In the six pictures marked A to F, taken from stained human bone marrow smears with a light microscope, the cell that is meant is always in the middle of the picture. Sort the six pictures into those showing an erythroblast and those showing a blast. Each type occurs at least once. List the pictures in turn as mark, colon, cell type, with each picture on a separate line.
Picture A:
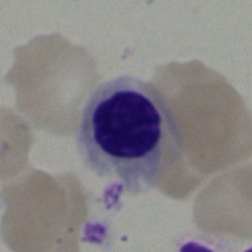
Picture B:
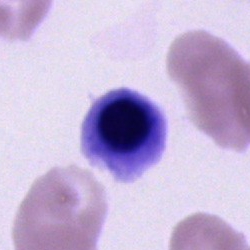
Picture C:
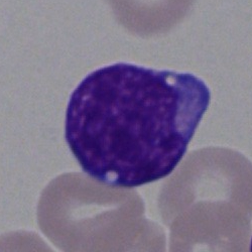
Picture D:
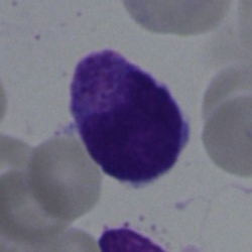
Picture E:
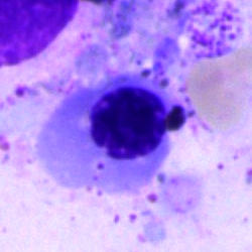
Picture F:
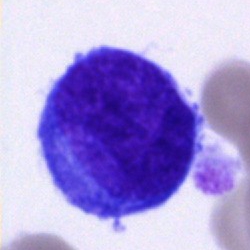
A: erythroblast
B: erythroblast
C: blast
D: blast
E: erythroblast
F: blast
